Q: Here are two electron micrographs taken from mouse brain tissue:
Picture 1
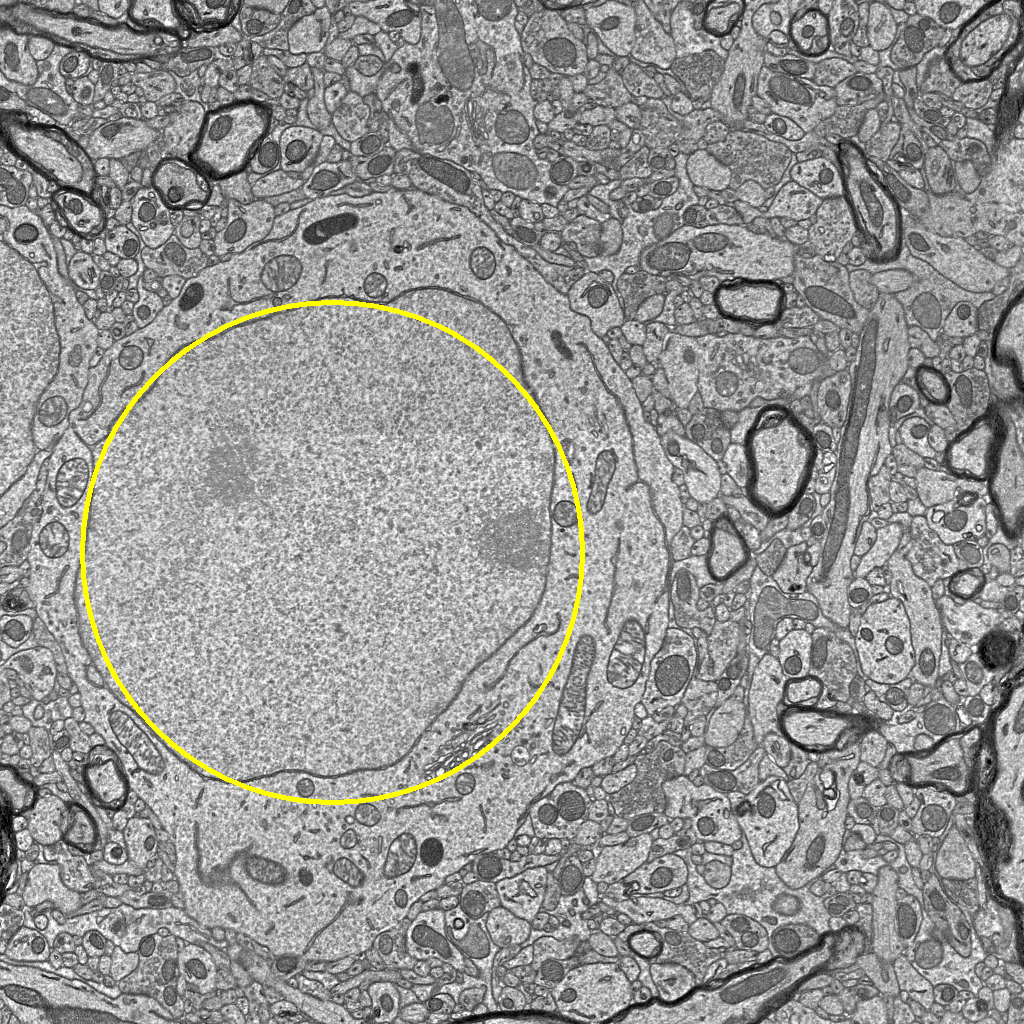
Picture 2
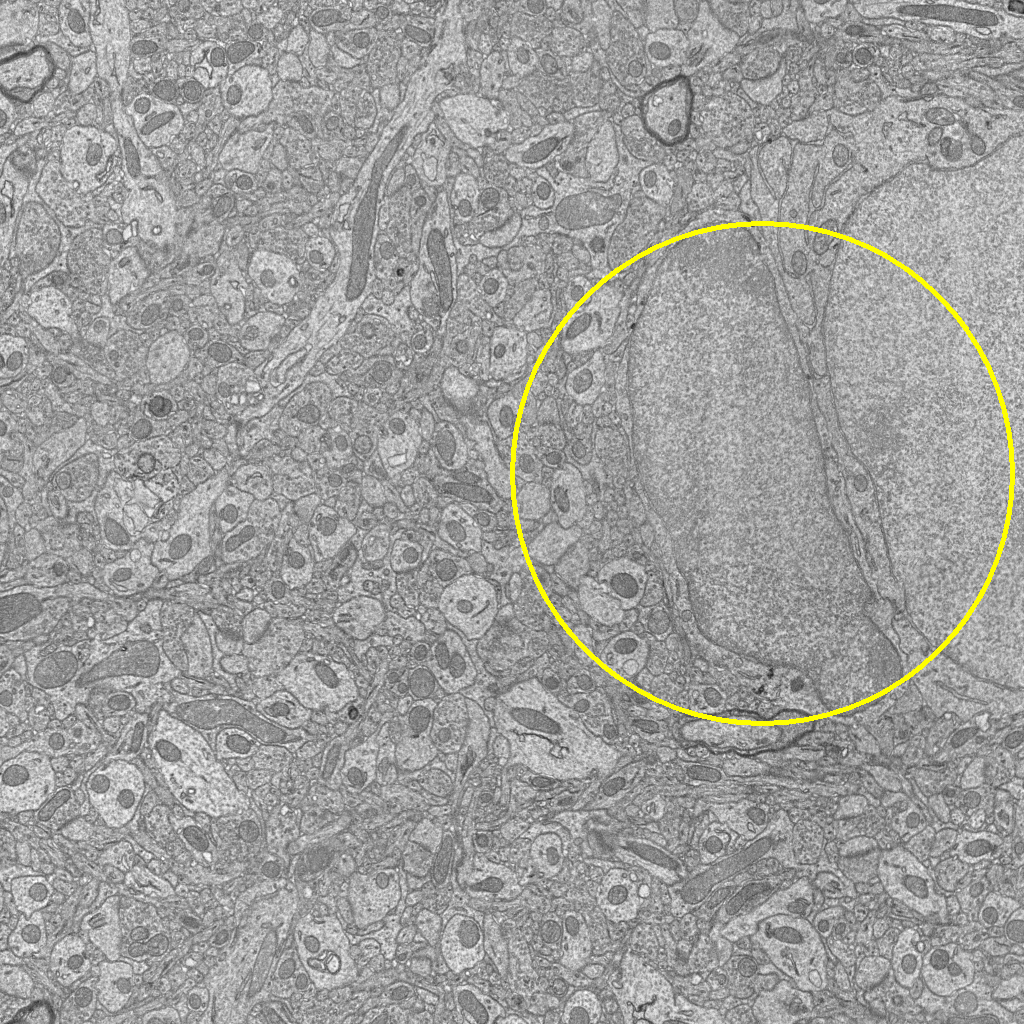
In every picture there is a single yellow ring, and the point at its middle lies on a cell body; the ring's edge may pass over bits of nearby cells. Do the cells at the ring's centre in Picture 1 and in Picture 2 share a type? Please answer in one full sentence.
No, the cells at the ring's centre in Picture 1 and Picture 2 are of two types.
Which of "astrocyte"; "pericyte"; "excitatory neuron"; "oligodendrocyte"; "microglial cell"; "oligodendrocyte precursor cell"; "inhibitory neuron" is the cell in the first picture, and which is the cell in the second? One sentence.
Here the first cell is an excitatory neuron and the second cell is an oligodendrocyte precursor cell.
